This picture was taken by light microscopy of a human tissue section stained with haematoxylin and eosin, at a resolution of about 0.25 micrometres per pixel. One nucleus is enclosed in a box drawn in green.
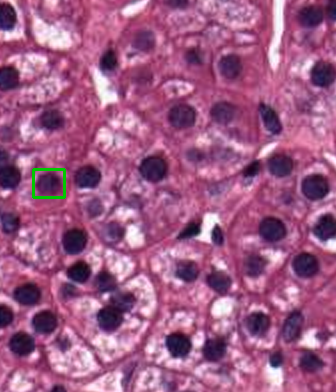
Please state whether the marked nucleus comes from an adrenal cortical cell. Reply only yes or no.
yes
